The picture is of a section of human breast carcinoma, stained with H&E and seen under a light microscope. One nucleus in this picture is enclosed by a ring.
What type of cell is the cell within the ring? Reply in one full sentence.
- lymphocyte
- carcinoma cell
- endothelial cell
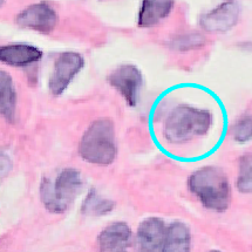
It is as a carcinoma cell that the cell within the ring is classified.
